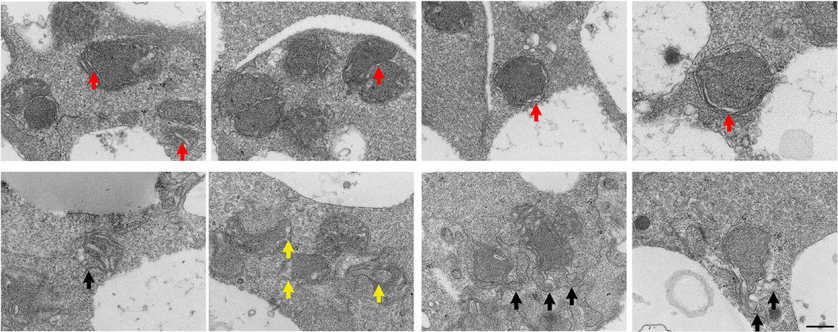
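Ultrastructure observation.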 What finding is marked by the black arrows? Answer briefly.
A: Abnormal structure of mitochondrial membrane.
